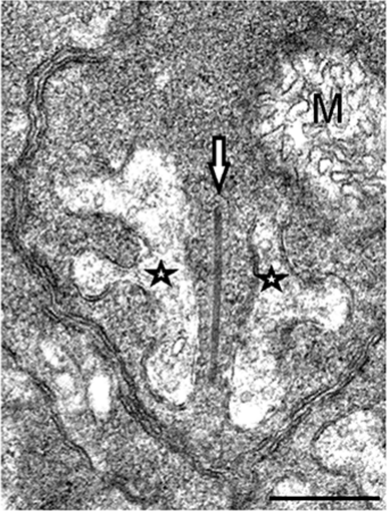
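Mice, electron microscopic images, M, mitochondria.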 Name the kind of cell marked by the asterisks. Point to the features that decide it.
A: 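The asterisks lie in two pale processes. One process lies on each side of the dark ribbon. They are embedded in a terminal full of small vesicles.
Horizontal cells.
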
